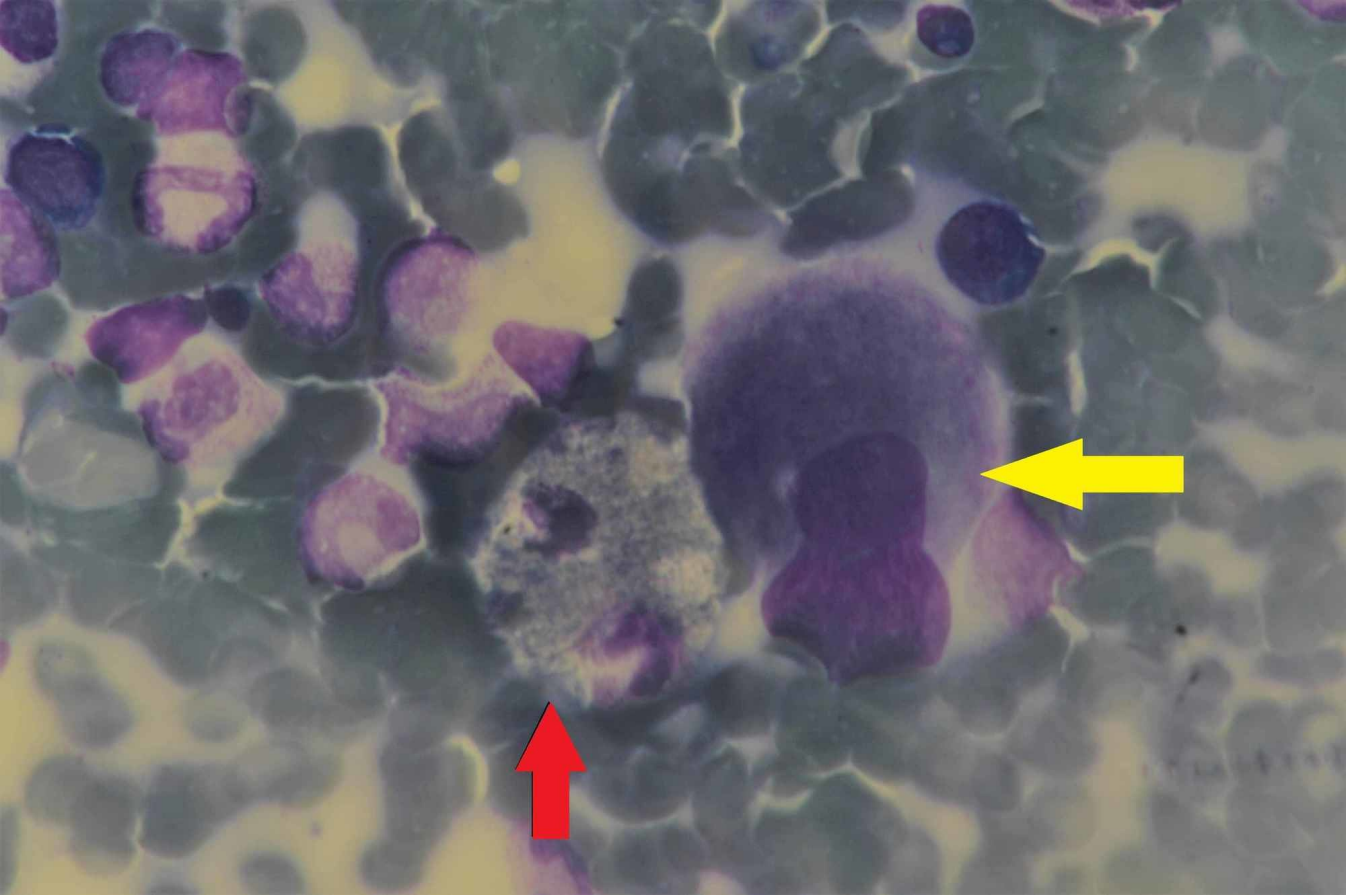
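Bone marrow aspirate with a large megakaryocyte that has abundant purple cytoplasm and a hypolobated nucleus of one or two rounded lobes. Beside it lies a histiocyte with ample pale, granular cytoplasm and a small off-centre nucleus. Around them are smaller marrow cells, including granulocytic precursors with pinkish granular cytoplasm and small round dark cells, among many grey-green red cells.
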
